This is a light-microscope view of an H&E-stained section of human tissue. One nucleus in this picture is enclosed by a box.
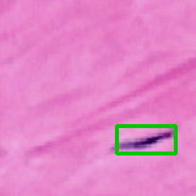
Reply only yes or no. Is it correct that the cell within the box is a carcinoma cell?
no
